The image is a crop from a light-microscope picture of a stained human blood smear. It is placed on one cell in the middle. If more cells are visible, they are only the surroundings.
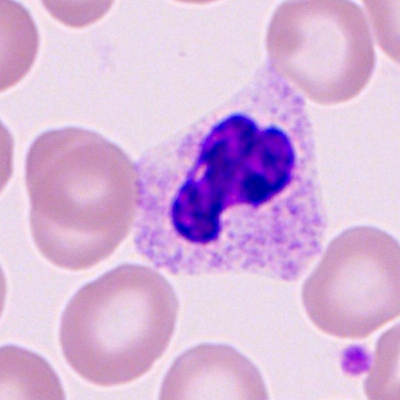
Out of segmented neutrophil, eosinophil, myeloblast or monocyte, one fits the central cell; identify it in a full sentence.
The cell the crop is centered on is a segmented neutrophil.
